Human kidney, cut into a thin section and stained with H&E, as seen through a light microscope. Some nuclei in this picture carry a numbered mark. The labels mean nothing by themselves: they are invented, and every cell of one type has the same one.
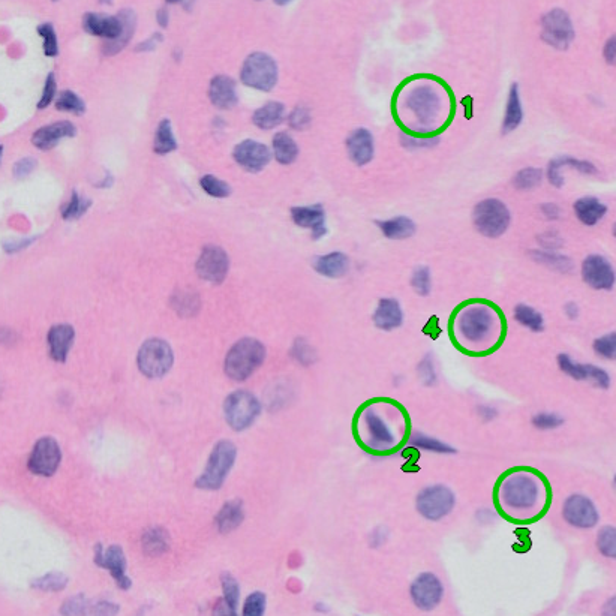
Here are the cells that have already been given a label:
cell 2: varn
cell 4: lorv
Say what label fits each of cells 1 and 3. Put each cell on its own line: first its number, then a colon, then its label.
1: lorv
3: lorv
